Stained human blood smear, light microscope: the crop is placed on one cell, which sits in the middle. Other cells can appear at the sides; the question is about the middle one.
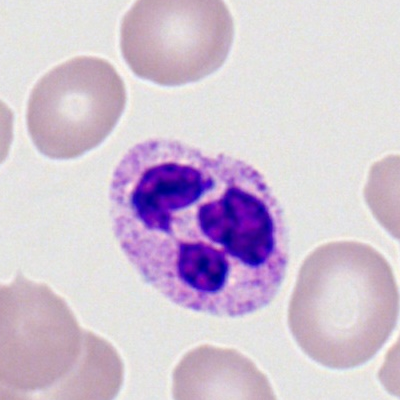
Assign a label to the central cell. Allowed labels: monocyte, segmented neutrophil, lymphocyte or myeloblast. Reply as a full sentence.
Centrally within this crop lies a segmented neutrophil.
